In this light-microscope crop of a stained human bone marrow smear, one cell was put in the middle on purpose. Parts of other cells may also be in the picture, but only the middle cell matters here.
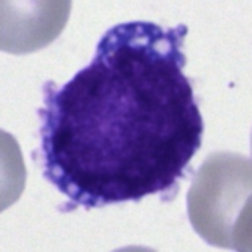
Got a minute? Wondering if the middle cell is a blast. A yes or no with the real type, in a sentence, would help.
Yes, the cell of interest in the middle is a blast.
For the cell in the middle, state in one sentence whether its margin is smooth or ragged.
A smooth outline is absent here, replaced by ragged stretches or projections.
